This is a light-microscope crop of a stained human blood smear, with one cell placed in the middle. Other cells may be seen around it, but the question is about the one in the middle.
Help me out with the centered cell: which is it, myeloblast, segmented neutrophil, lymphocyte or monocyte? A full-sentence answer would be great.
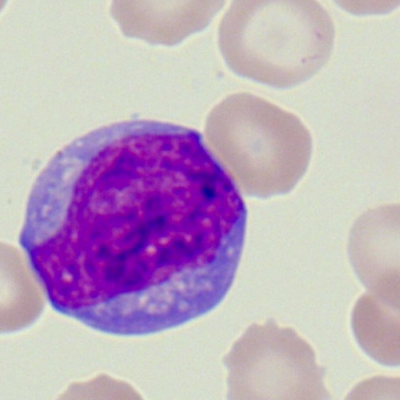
For this crop, the central cell is a myeloblast.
